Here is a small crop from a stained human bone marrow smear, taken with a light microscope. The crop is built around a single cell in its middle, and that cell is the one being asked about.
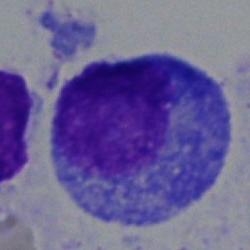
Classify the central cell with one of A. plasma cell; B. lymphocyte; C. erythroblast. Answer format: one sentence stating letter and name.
Answer key: option A, the middle cell being a plasma cell.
